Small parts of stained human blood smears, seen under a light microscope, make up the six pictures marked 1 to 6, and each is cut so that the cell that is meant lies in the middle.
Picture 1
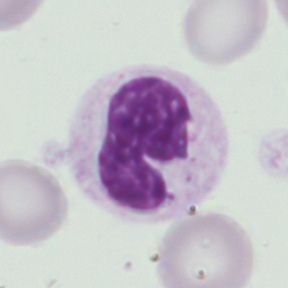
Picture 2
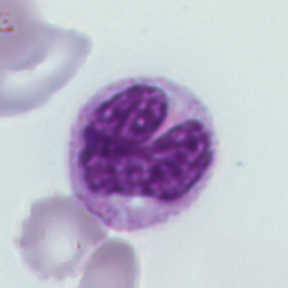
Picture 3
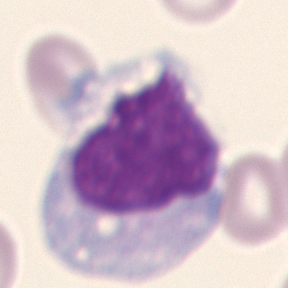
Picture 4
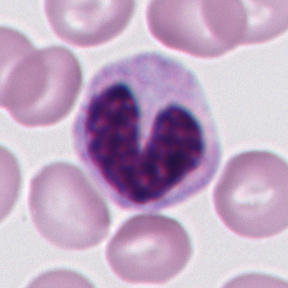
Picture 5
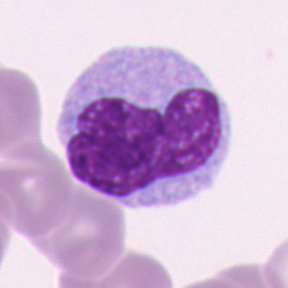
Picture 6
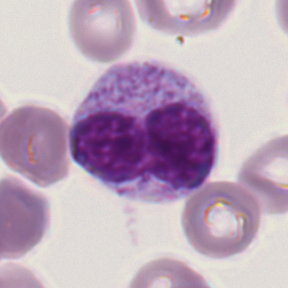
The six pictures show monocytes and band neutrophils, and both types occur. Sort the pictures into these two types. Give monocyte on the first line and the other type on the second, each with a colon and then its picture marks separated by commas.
monocyte: 3, 5
band neutrophil: 1, 2, 4, 6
